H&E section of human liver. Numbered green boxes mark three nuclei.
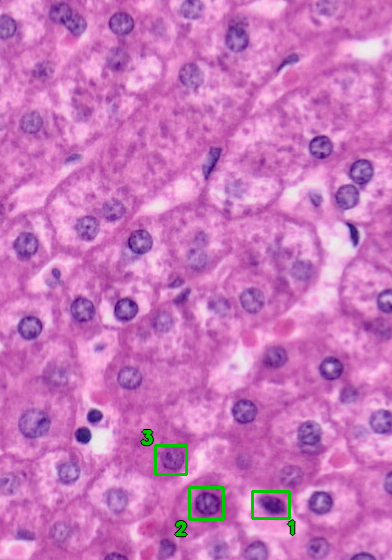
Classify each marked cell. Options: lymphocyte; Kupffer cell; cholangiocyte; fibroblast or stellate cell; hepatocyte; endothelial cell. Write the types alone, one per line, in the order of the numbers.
Kupffer cell
hepatocyte
hepatocyte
